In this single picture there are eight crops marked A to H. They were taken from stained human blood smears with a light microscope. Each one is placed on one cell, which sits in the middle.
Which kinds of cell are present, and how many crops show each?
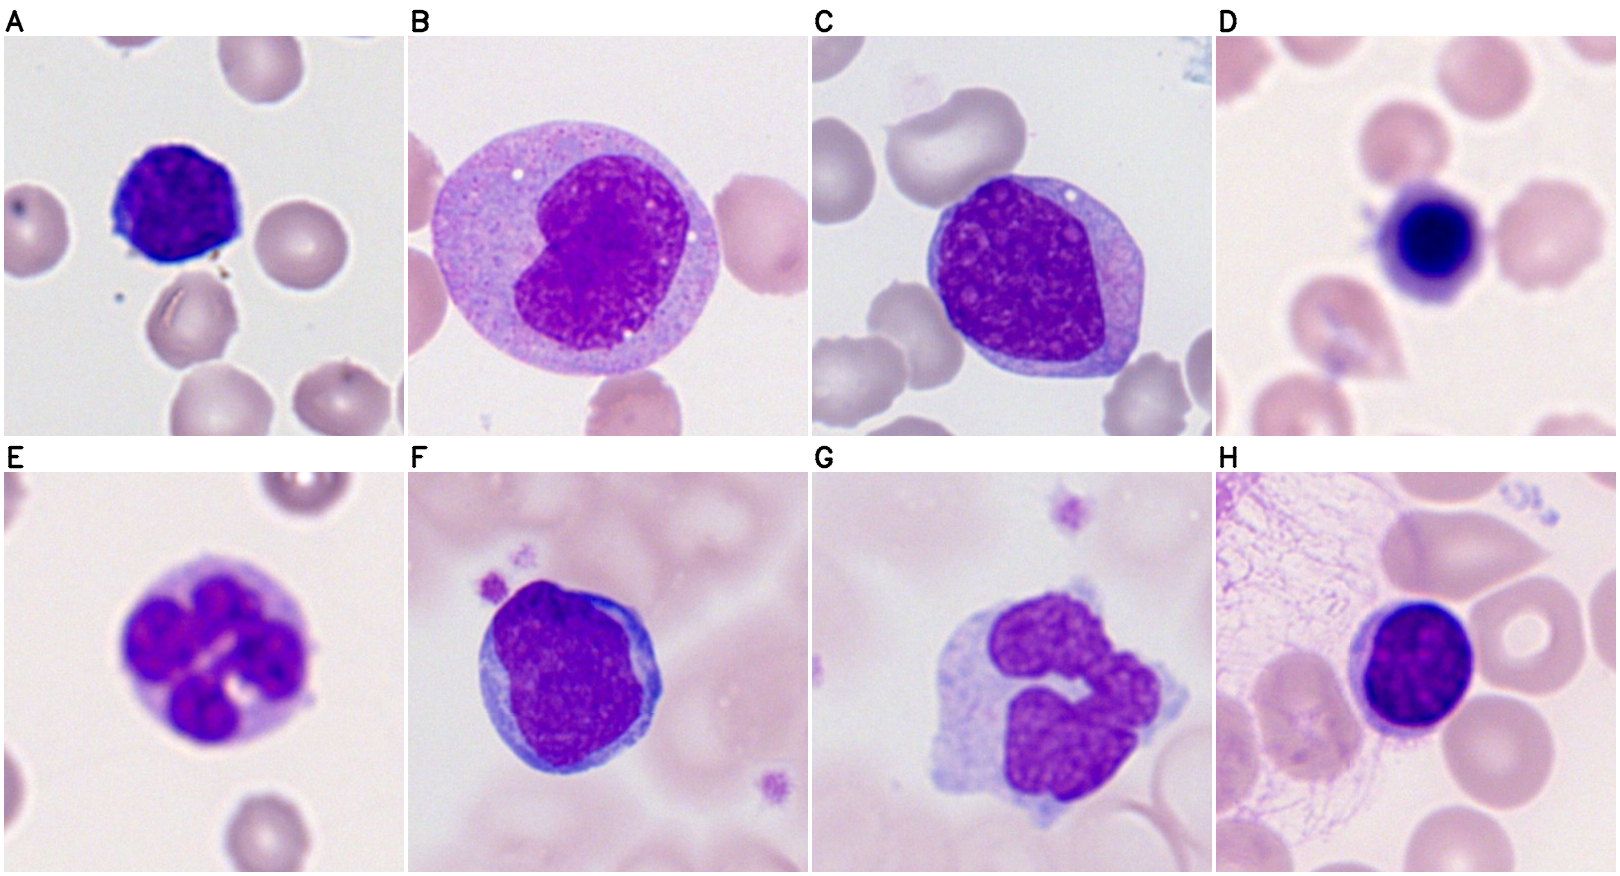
monocyte: 3
lymphocyte: 2
myeloblast: 2
erythroblast: 1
